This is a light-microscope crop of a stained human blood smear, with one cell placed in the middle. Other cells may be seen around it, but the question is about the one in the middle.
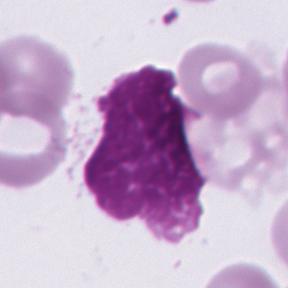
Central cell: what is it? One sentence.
The centrally placed cell is classified as a smudge cell.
